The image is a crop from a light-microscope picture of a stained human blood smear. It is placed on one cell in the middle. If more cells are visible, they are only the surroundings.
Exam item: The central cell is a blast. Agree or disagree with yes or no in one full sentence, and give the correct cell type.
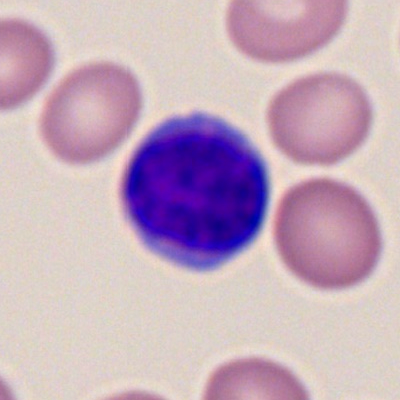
No, the central cell is identified not as a blast but as a lymphocyte.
